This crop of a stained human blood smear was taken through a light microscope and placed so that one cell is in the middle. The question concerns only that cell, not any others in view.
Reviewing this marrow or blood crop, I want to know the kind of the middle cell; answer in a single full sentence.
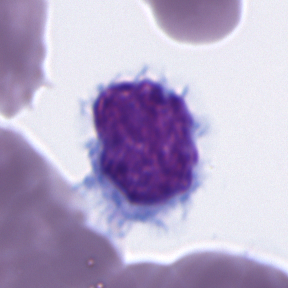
The crop centres on a single cell, and that cell is a hairy cell.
